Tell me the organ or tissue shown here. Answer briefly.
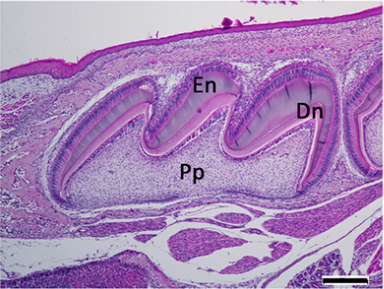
molar teeth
